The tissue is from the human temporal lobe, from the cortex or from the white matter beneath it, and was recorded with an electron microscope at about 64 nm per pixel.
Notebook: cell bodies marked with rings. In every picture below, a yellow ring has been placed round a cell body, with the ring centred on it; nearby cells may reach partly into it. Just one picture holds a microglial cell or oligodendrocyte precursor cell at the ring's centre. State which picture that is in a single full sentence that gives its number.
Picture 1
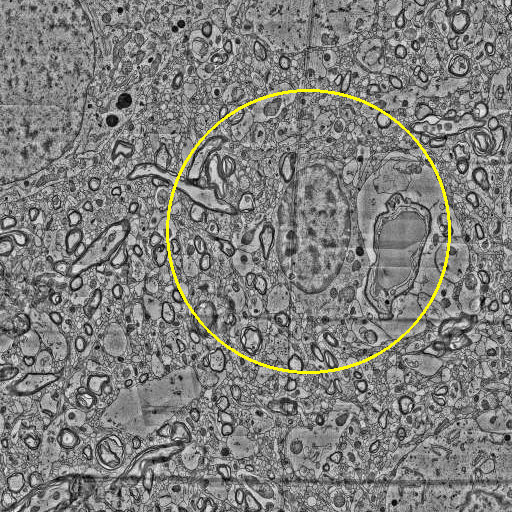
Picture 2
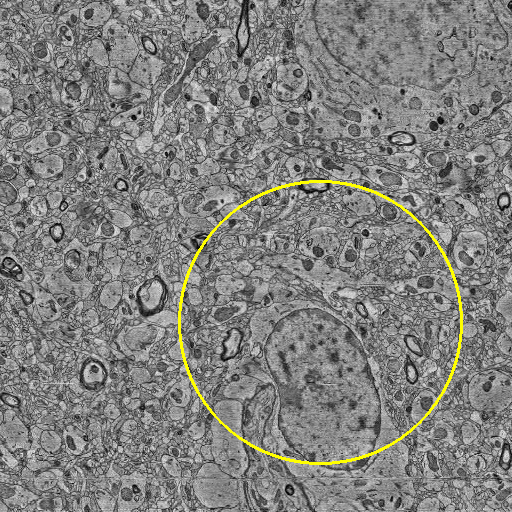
It is picture 2 whose ring has the wanted cell right at its centre.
